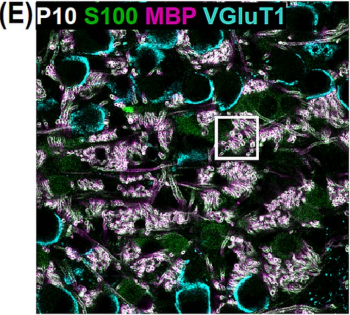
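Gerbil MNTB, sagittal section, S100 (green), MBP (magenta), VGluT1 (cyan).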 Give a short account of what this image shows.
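This brainstem nucleus shows large round dark neuron cell bodies, many wrapped by bright cyan cup-shaped rims of the calyx terminals. Faint green cell bodies and processes are scattered among the neurons.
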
